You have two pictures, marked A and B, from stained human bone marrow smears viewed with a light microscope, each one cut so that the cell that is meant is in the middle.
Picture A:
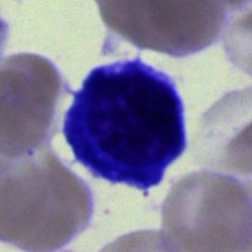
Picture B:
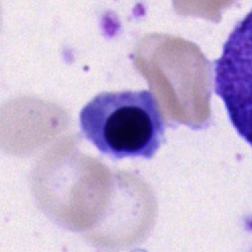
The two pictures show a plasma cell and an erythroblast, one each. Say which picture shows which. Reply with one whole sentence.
It is picture A that shows a plasma cell, and picture B that shows an erythroblast.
